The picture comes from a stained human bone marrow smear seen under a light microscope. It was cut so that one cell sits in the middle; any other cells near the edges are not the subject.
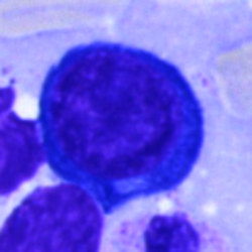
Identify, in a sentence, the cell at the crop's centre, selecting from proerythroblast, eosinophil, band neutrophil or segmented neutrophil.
For this crop, the central cell is a proerythroblast.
